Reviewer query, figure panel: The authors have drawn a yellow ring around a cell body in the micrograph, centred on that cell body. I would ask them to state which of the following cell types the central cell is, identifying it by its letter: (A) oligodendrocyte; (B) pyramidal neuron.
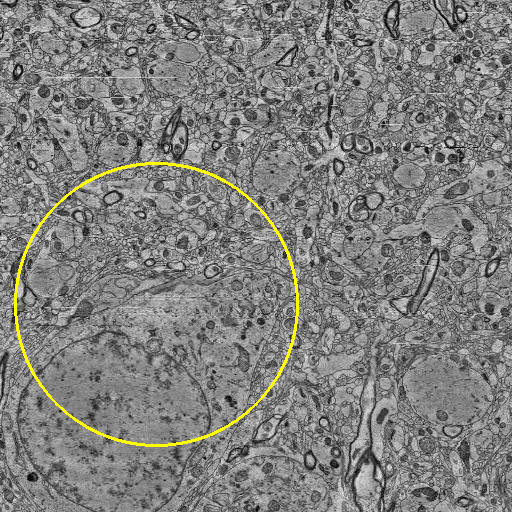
A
